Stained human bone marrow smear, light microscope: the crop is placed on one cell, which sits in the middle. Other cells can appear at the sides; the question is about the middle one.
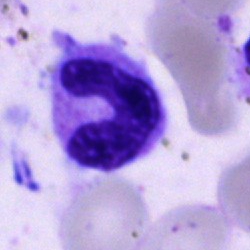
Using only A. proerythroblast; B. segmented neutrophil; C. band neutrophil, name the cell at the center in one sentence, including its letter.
That cell in the center is a band neutrophil, hence option C.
